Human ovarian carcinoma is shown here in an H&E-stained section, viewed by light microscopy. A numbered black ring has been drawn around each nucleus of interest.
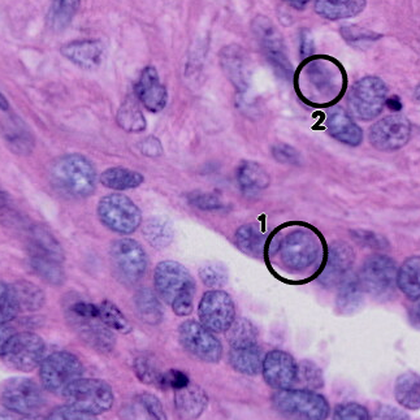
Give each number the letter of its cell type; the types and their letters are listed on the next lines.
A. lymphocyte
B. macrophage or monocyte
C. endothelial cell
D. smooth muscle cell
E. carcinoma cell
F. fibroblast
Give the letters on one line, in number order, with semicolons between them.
E; F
